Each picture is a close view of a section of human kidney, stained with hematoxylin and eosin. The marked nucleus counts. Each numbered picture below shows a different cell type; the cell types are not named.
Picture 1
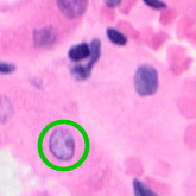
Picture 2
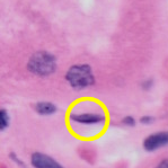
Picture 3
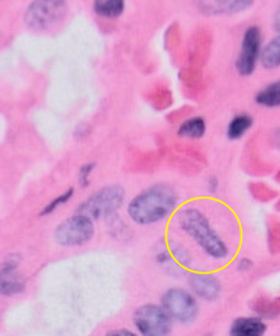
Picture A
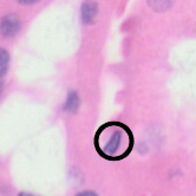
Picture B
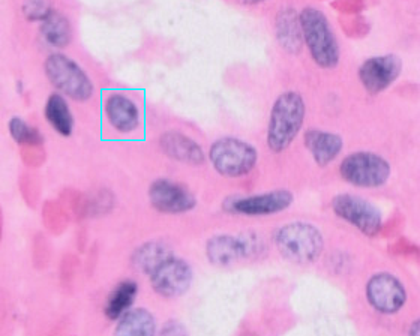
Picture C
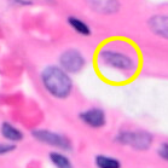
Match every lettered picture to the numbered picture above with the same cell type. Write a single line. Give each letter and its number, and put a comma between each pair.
A 2, B 3, C 3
